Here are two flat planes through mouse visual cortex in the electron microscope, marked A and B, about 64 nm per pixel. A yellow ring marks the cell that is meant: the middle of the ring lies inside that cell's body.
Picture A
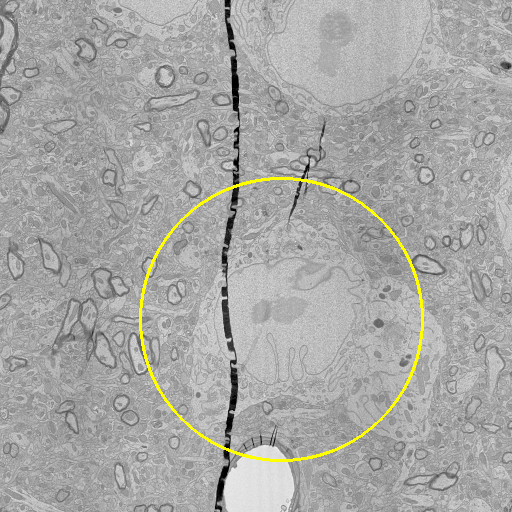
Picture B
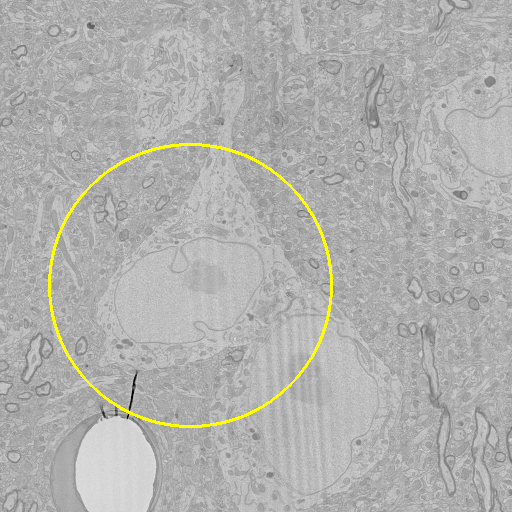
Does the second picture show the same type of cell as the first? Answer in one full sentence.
No, picture A shows an inhibitory neuron and picture B shows an excitatory neuron.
